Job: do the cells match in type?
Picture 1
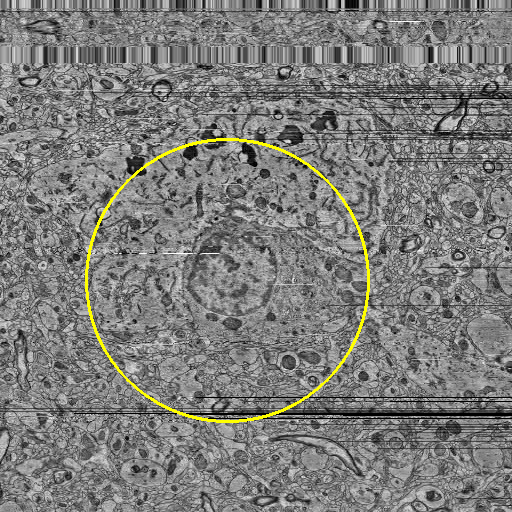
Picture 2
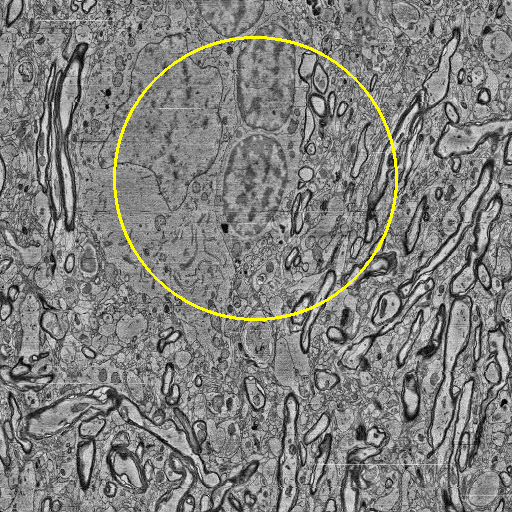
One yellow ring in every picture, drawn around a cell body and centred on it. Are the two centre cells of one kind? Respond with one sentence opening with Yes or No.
Yes, the ringed cells in the two pictures are of one and the same kind.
